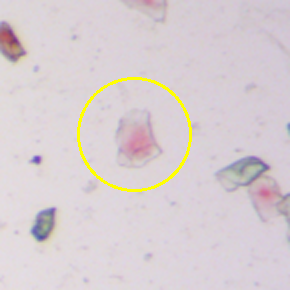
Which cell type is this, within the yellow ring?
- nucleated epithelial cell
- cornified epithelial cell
Within the ring is a nucleated epithelial cell.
